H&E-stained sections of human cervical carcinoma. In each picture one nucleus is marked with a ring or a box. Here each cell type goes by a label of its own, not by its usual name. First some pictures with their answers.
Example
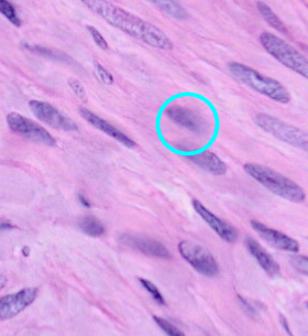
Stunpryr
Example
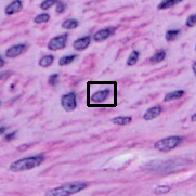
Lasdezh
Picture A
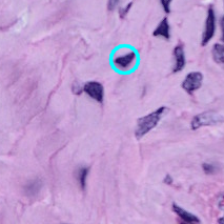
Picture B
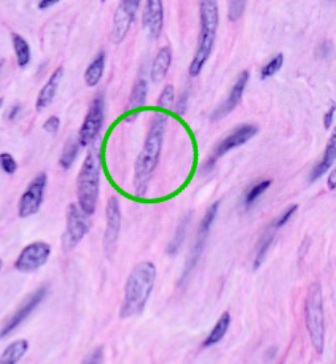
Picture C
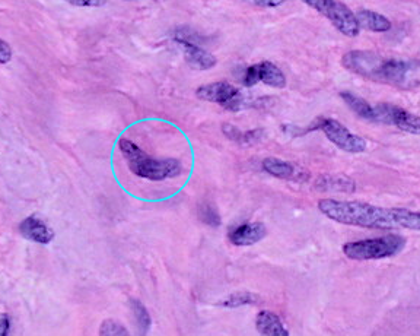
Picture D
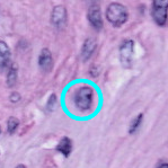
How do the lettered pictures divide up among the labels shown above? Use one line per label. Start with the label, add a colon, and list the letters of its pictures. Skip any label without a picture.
Stunpryr: A, C
Lasdezh: B, D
